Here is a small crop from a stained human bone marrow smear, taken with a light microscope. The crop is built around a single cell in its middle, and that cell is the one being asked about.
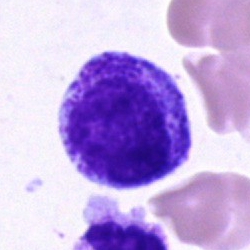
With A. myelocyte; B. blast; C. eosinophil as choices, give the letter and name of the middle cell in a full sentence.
The central cell in this crop is a myelocyte, so the correct choice is option A.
